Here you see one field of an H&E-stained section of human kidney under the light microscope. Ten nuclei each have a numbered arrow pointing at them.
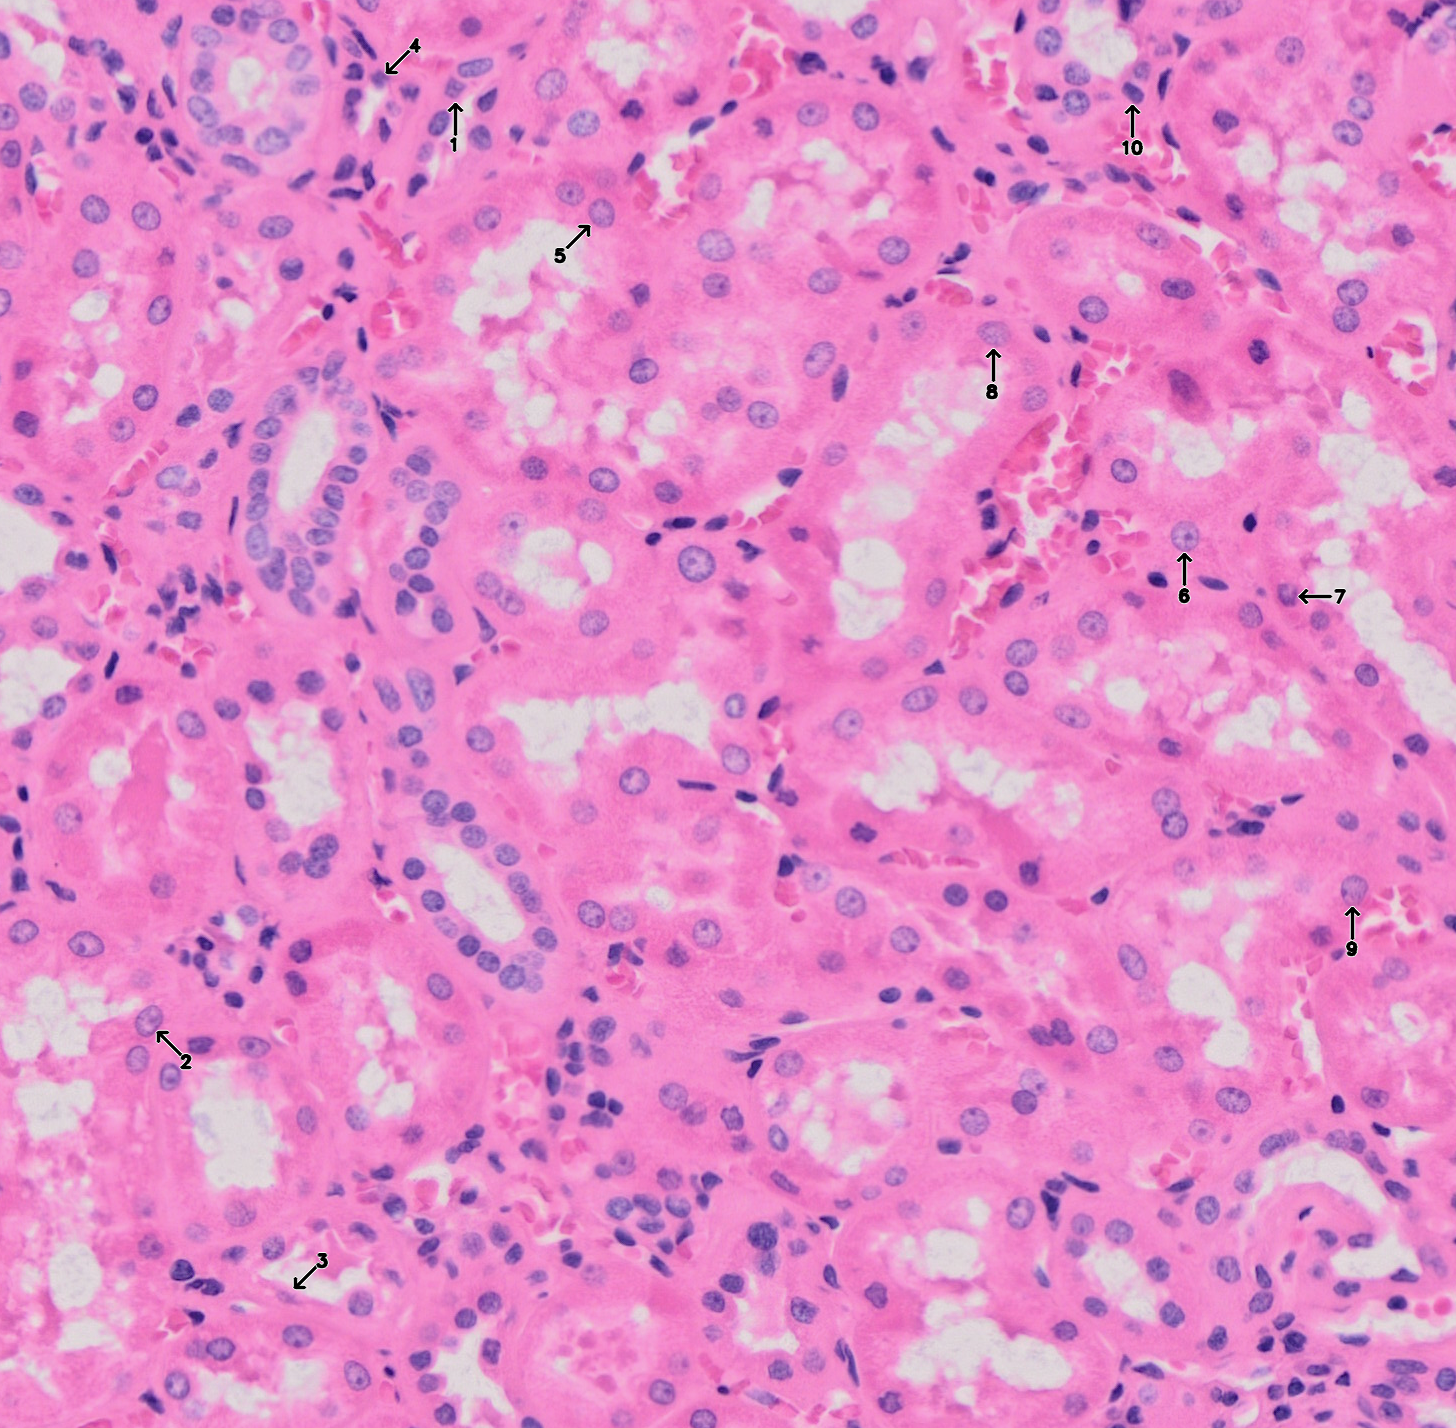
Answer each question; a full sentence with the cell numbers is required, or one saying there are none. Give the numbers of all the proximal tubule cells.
Cells 2, 5, 6, 7, 8 and 9 share one type; they are proximal tubule cells.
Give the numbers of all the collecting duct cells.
Each of the cells numbered 1, 4 and 10 is among the collecting duct cells.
